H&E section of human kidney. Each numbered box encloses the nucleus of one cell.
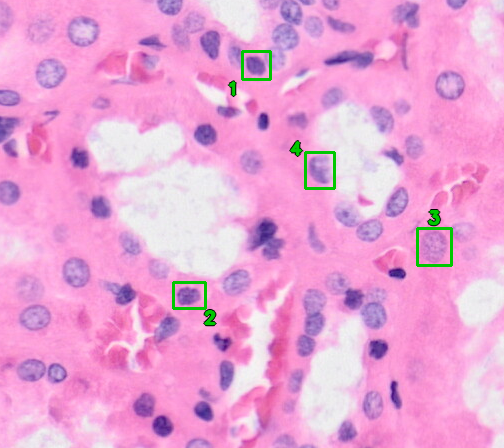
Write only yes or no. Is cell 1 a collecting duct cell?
yes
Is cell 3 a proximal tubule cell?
yes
